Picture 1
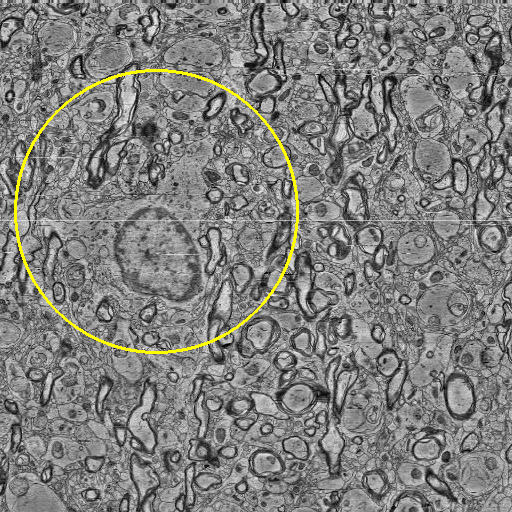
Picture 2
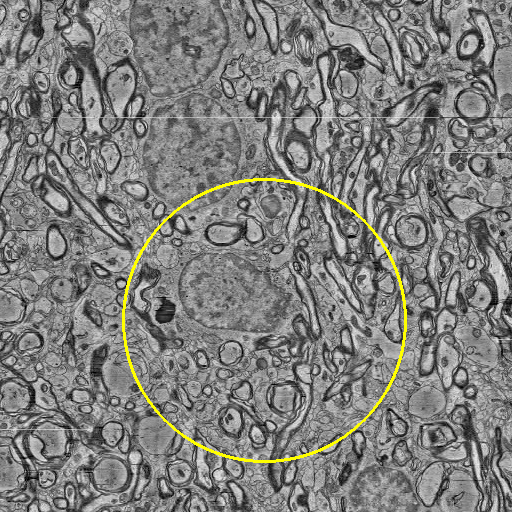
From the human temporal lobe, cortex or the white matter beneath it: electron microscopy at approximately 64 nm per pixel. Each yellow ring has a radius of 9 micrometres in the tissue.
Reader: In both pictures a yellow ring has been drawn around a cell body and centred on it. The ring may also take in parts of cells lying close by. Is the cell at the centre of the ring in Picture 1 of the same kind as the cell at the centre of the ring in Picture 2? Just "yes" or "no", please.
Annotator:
no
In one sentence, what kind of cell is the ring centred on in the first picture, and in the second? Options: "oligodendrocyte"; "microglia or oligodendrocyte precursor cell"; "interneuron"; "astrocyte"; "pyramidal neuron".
The cell at the centre of the second ring is an oligodendrocyte; the first ring's cell is a microglial cell or oligodendrocyte precursor cell.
